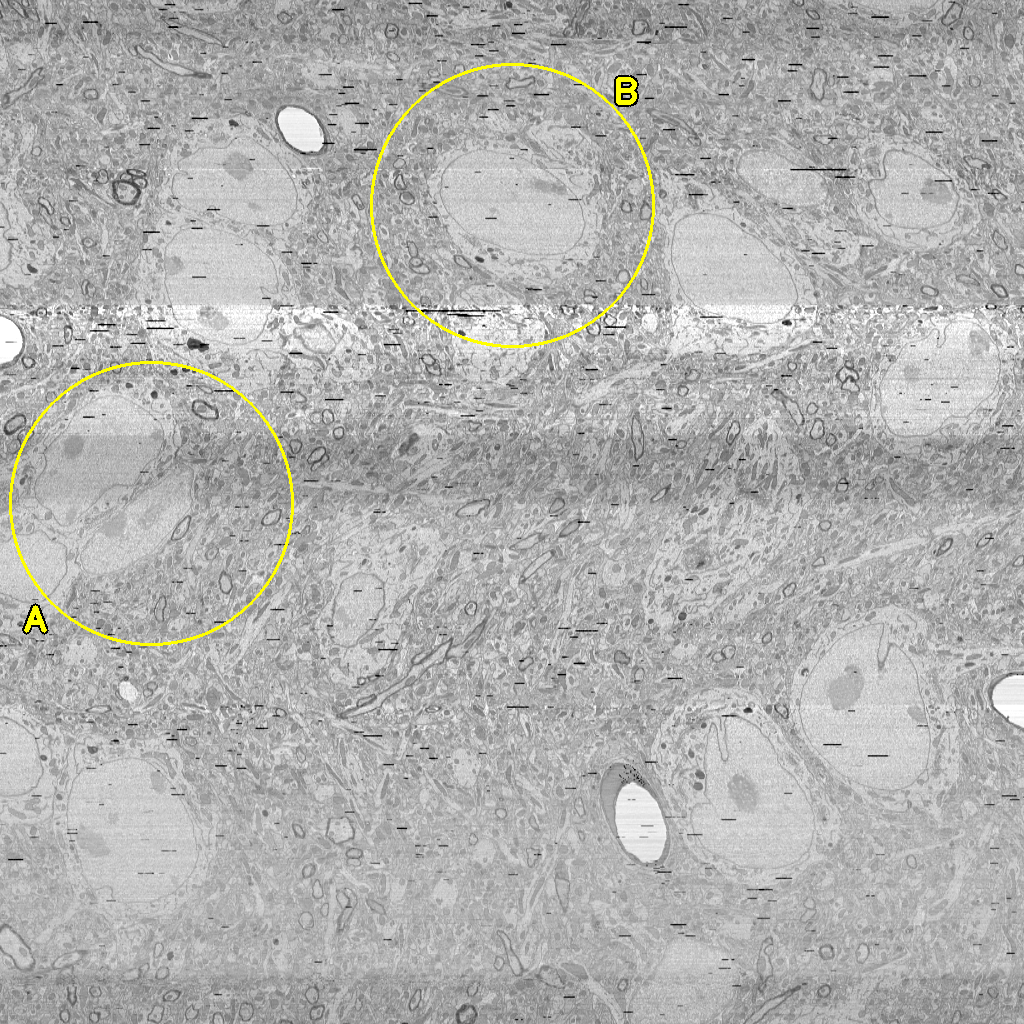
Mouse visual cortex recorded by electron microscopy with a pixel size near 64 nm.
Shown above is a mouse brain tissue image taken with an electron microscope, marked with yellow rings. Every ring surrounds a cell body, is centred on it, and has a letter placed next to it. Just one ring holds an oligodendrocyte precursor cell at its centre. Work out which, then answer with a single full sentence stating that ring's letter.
Ring A is the one whose centre holds a cell of that kind.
